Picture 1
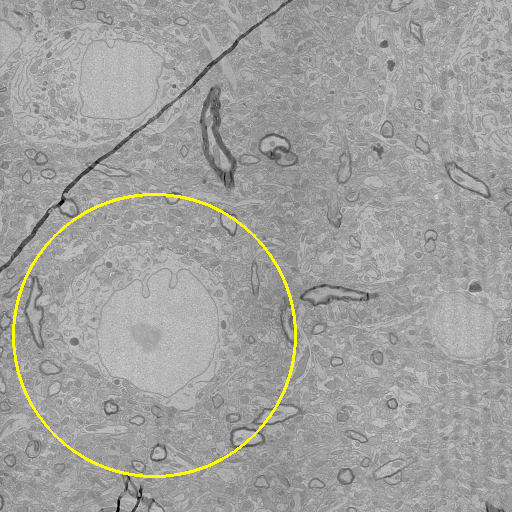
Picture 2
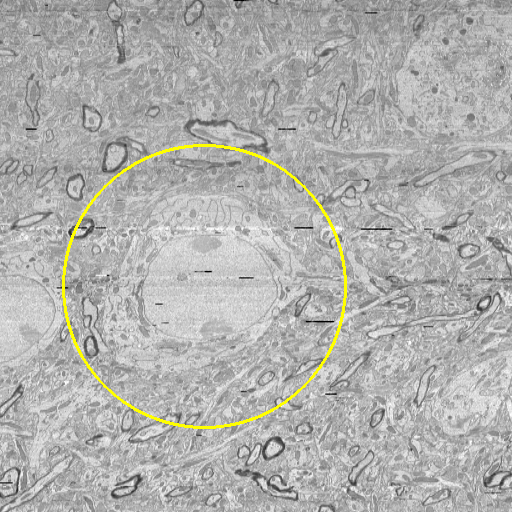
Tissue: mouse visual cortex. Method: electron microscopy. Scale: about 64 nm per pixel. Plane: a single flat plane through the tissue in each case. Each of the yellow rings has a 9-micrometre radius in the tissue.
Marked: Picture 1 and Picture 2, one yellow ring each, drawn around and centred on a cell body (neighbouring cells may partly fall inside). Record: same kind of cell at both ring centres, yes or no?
yes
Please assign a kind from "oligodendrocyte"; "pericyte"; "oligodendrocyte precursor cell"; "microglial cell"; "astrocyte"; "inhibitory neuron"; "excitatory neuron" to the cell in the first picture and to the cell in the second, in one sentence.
The ring centre holds an excitatory neuron in each of the two pictures.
